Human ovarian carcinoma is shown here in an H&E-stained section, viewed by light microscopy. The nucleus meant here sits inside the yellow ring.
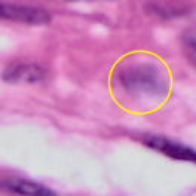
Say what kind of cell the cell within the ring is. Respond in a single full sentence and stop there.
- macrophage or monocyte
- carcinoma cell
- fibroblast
At the level of cell identity, the cell within the ring is a fibroblast.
